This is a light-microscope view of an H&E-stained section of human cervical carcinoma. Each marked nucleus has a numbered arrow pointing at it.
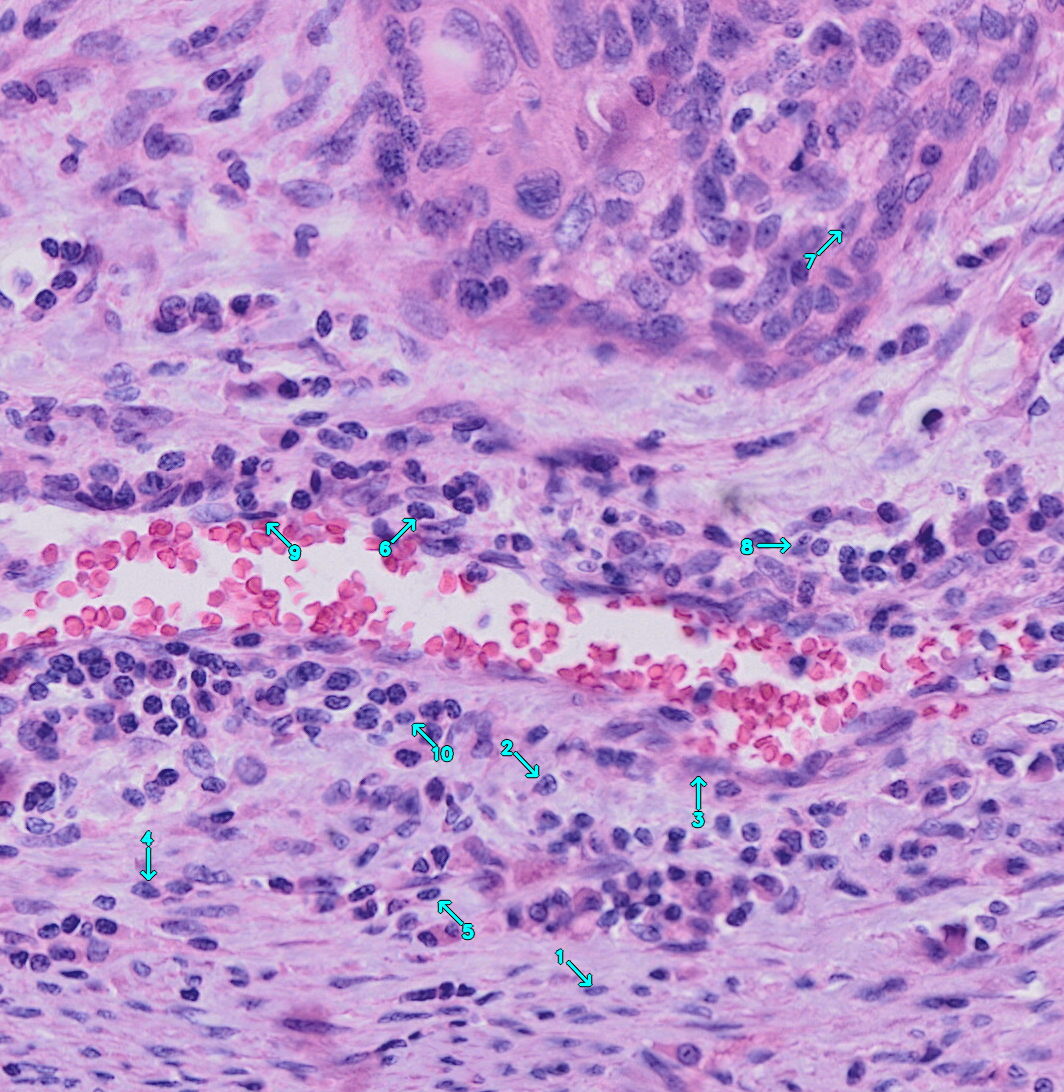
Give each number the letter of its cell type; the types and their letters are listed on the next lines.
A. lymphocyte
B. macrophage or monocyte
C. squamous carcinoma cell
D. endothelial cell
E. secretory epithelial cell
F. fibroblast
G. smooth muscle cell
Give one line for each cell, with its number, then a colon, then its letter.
1: F
2: A
3: D
4: A
5: A
6: A
7: C
8: A
9: D
10: A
